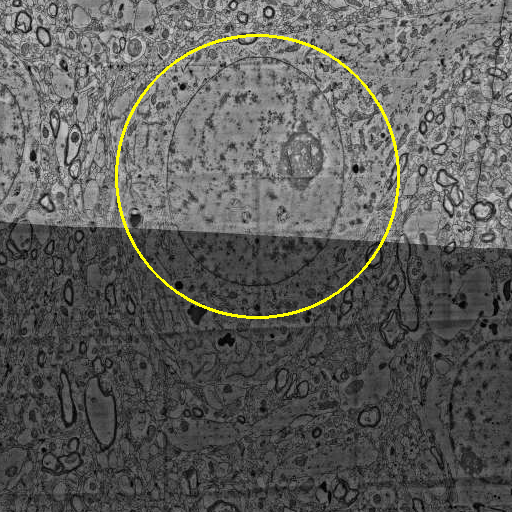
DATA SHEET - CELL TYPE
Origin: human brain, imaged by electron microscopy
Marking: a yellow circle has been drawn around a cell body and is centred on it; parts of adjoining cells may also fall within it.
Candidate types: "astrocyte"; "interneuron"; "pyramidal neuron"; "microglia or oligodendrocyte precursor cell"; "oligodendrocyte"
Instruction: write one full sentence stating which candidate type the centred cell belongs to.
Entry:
The cell body at the centre of the yellow ring in this micrograph belongs to a pyramidal neuron.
